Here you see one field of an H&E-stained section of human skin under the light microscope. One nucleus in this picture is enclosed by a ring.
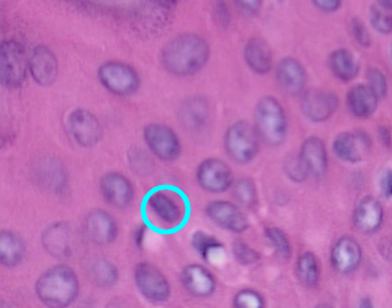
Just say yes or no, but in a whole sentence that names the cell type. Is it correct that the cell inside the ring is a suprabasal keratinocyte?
Yes, it is accurate to say that the cell inside the ring is a suprabasal keratinocyte.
